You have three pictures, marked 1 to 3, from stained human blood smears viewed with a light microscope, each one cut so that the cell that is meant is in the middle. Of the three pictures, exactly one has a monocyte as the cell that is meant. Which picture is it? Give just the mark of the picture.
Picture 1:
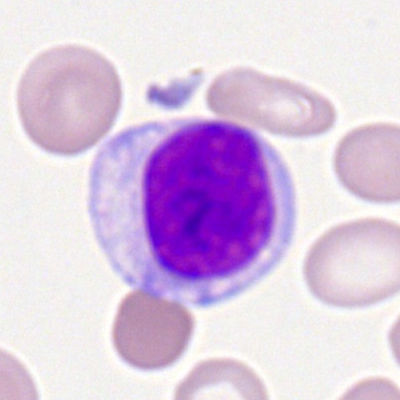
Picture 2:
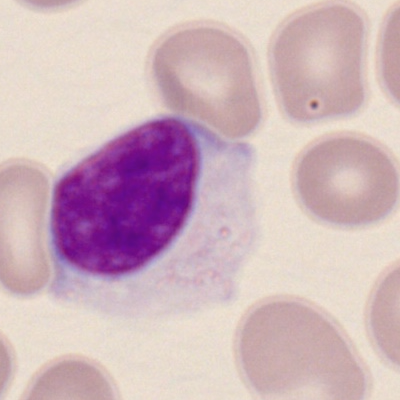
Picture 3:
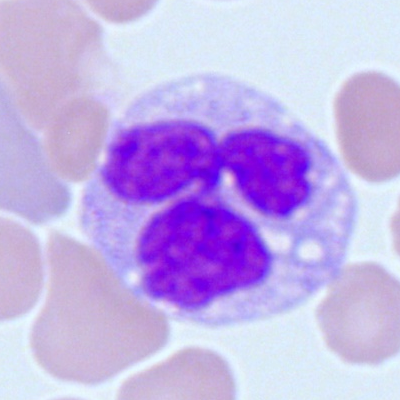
3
